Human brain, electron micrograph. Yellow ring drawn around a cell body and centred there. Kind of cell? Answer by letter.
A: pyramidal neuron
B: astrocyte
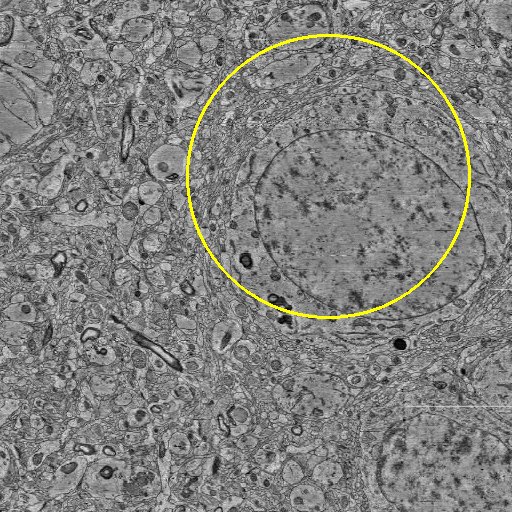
A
